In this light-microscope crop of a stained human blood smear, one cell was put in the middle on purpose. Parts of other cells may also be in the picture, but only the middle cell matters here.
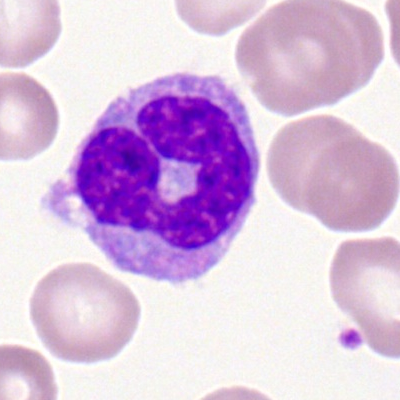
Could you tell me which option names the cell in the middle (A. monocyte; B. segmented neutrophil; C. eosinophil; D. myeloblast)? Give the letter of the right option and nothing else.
A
